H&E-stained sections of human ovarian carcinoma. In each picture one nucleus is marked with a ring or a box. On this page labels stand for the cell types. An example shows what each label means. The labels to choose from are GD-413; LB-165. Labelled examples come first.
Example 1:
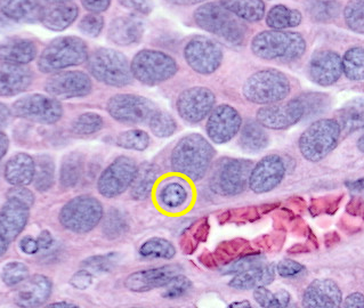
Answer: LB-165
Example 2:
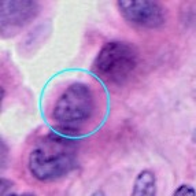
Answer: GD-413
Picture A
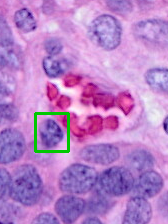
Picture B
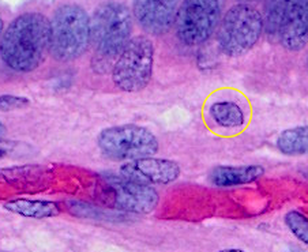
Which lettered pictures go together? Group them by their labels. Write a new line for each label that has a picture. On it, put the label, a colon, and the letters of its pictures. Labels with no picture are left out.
LB-165: A, B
